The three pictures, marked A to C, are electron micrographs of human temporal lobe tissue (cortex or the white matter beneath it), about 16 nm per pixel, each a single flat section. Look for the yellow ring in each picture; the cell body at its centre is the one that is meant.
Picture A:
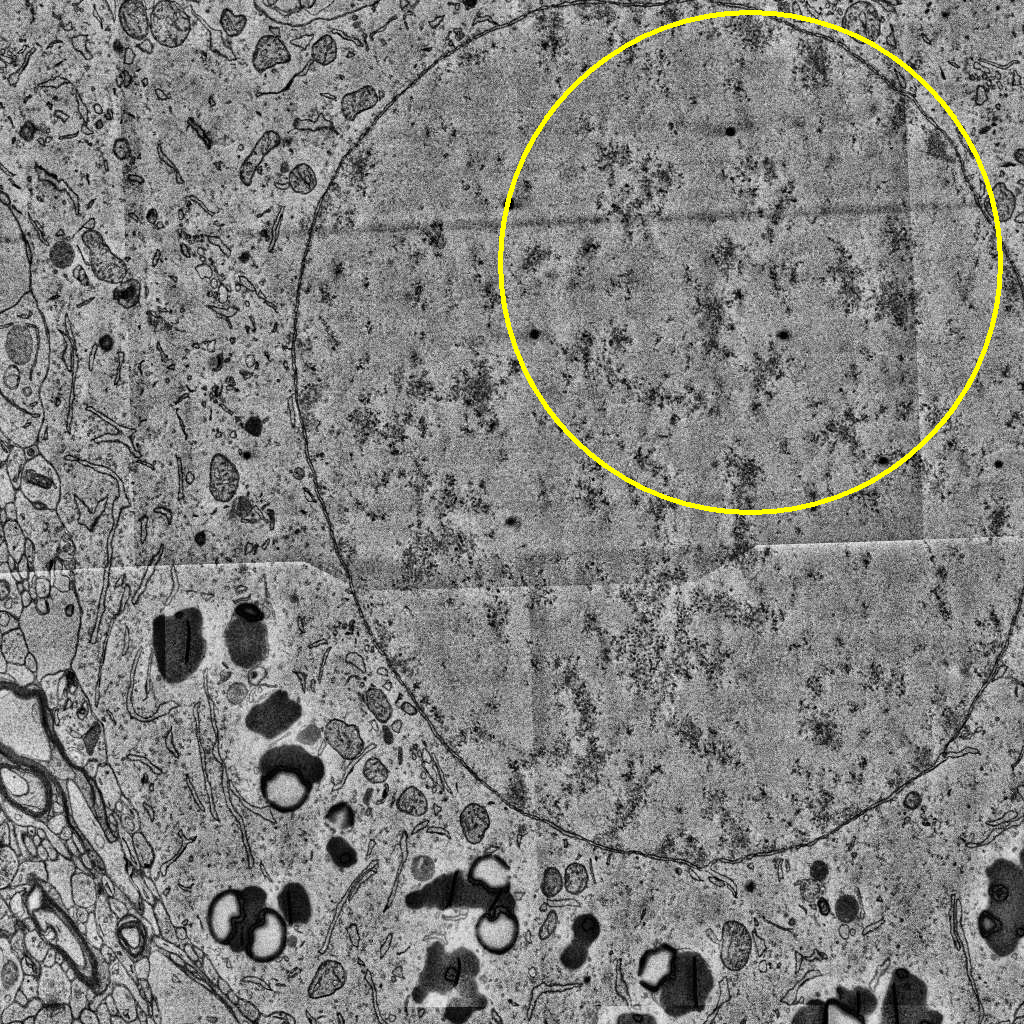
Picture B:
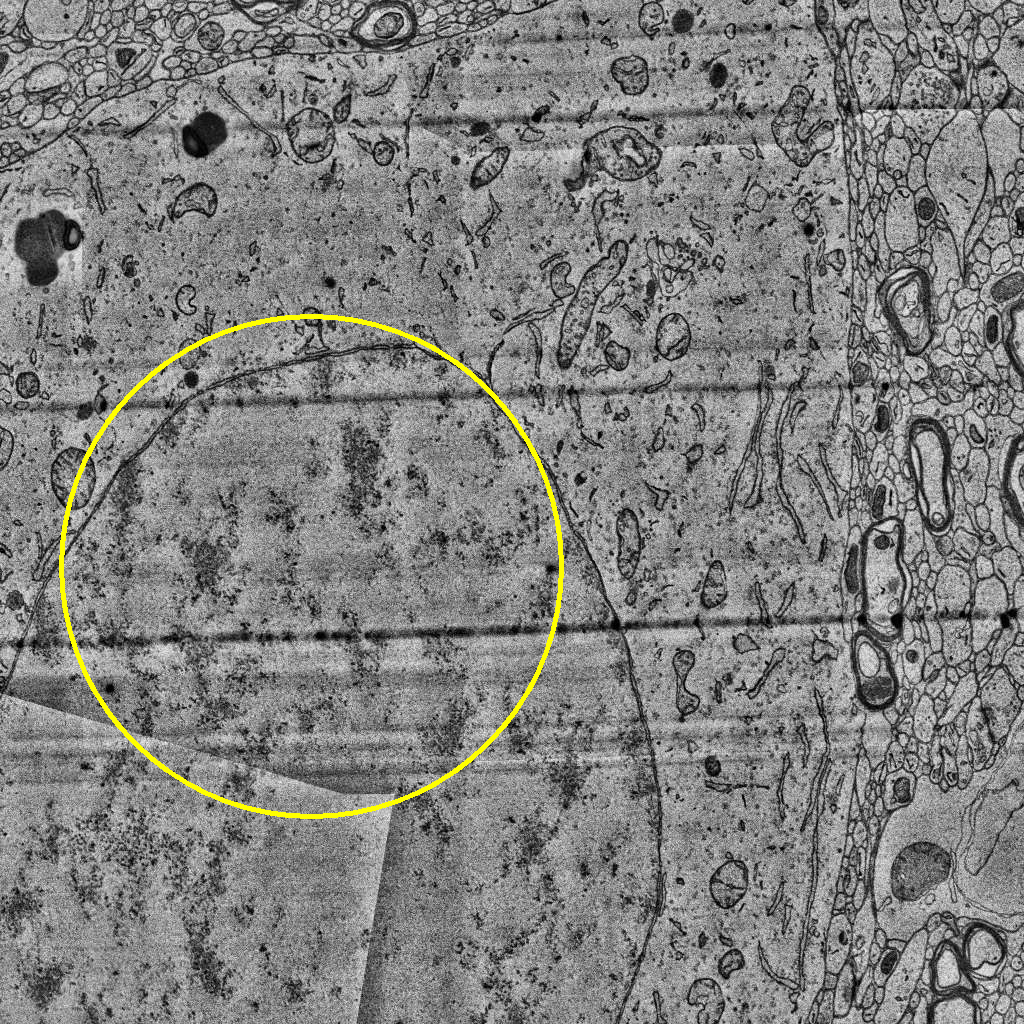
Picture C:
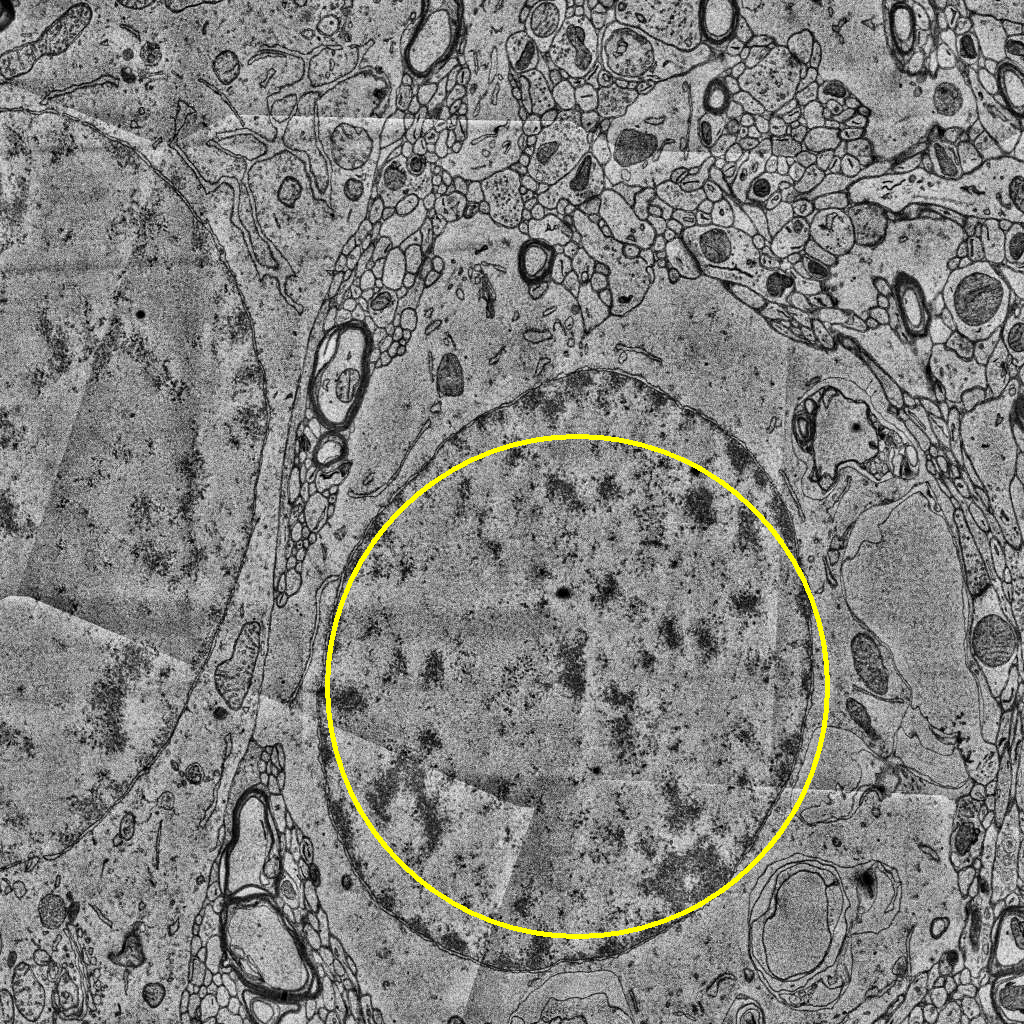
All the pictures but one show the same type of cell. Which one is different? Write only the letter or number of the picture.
C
